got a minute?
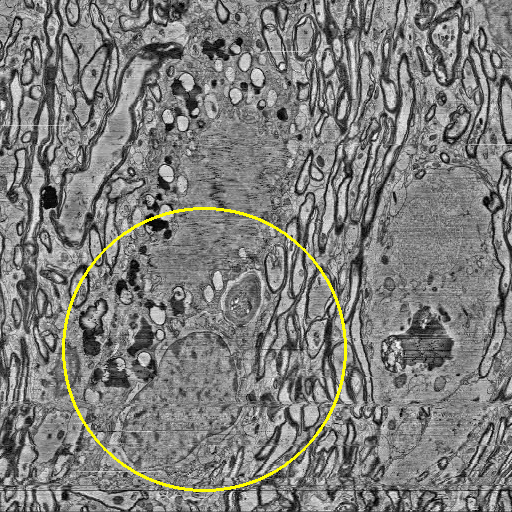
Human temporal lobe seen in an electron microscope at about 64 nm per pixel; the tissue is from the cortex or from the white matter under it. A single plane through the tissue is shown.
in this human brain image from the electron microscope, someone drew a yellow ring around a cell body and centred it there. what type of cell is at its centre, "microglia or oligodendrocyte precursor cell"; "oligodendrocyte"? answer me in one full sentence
It's a microglial cell or oligodendrocyte precursor cell at the middle of that yellow ring in the shot.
